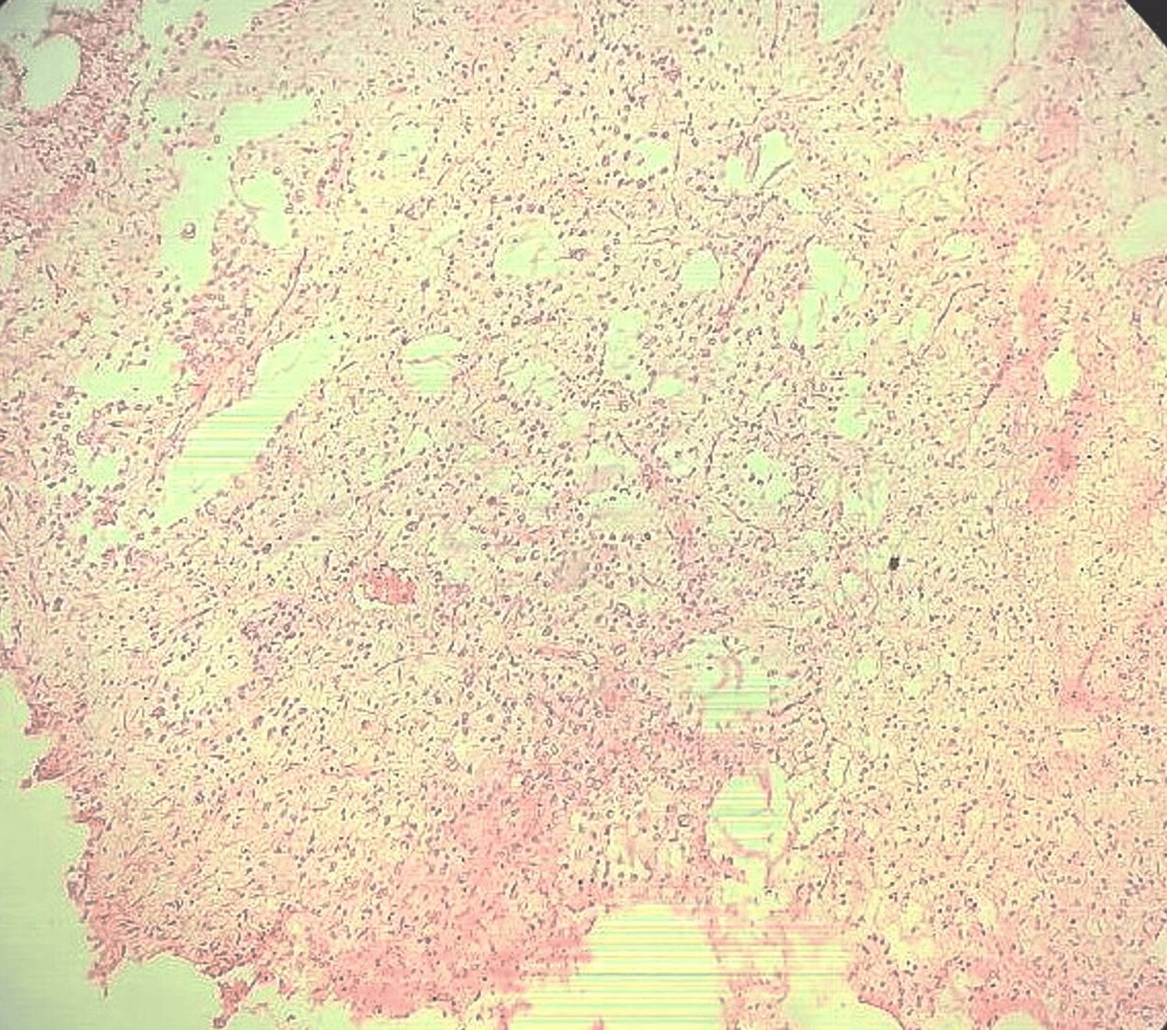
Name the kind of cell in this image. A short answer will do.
Oligodendrocyte-like cells.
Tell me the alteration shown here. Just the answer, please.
myxoid matrix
